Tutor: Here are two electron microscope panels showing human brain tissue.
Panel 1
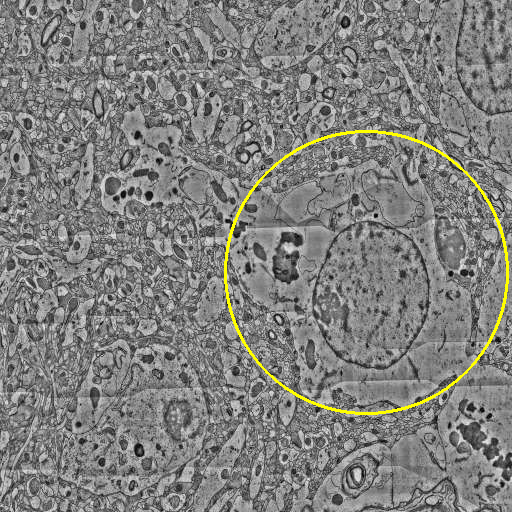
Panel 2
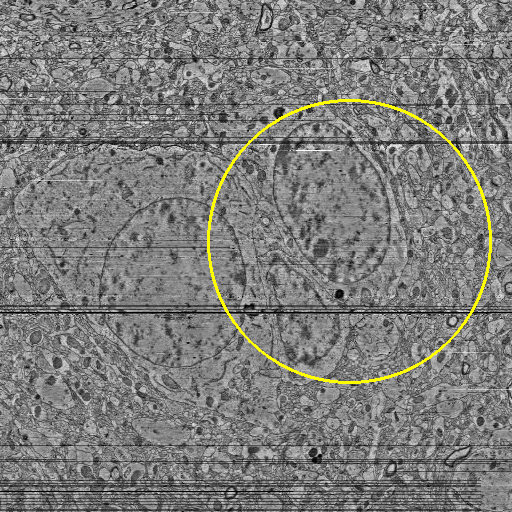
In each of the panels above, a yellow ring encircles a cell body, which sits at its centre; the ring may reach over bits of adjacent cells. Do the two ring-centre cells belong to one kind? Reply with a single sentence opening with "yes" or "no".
No, the two cells sitting at the ring centres in the panels belong to two kinds.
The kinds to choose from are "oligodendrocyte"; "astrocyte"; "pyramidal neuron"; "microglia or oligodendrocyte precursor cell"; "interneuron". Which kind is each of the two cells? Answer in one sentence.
Of the two, the first cell is an astrocyte and the second cell is a pyramidal neuron.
